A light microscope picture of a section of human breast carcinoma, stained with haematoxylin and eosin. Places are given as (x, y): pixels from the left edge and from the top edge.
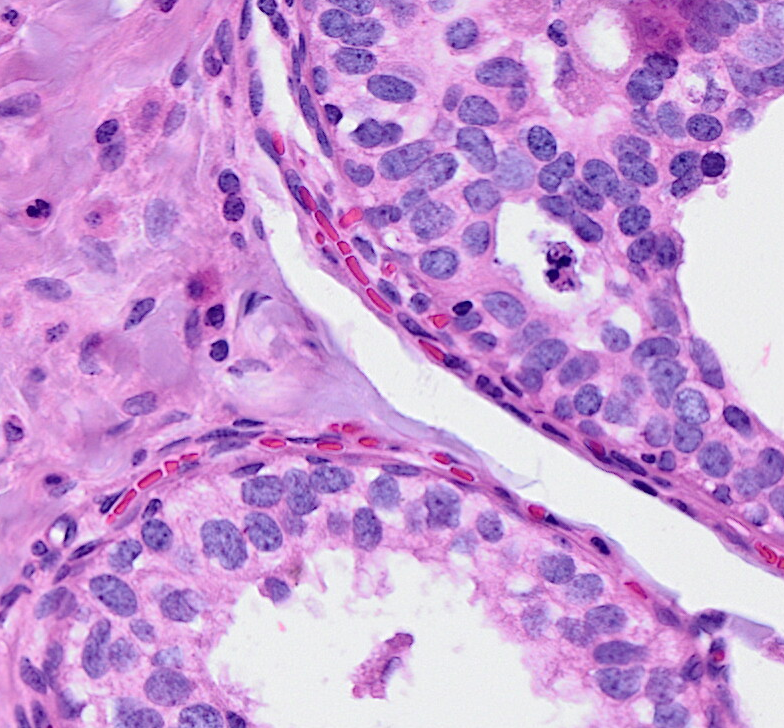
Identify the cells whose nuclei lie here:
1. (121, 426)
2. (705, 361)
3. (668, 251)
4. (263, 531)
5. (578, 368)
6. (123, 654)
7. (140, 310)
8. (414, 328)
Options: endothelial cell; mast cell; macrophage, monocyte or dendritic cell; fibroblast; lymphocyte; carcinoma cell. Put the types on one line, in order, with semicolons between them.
fibroblast; carcinoma cell; carcinoma cell; carcinoma cell; carcinoma cell; carcinoma cell; fibroblast; endothelial cell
